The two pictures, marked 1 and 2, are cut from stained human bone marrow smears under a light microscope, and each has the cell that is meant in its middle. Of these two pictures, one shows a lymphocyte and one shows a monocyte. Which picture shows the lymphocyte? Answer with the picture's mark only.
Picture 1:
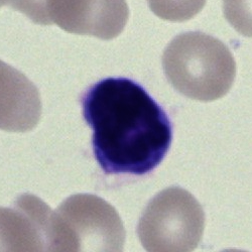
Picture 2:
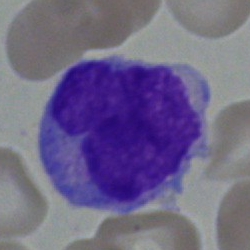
1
